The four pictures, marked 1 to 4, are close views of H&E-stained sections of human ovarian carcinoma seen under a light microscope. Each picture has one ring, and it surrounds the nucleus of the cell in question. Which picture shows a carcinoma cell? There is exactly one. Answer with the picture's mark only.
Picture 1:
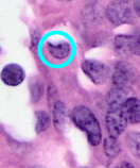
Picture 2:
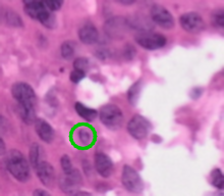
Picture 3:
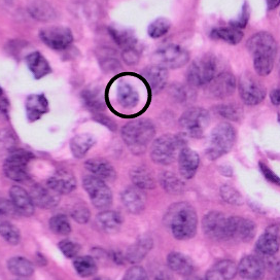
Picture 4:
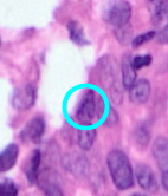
4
